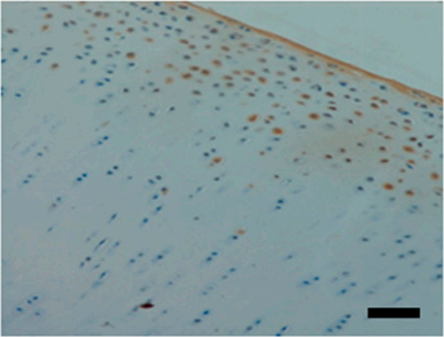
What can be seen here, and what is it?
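Cartilage with chondrocytes lying singly and in small groups within lacunae, set in a pale, homogeneous matrix. Toward the surface at the upper right the cells are more densely packed, and many of them are stained brown. A thin brown line runs along the surface edge.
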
